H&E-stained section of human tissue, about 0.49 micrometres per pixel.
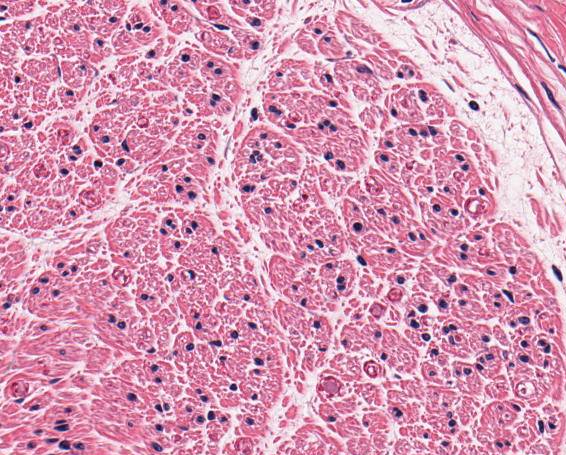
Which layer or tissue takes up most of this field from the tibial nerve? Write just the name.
nerve fascicle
